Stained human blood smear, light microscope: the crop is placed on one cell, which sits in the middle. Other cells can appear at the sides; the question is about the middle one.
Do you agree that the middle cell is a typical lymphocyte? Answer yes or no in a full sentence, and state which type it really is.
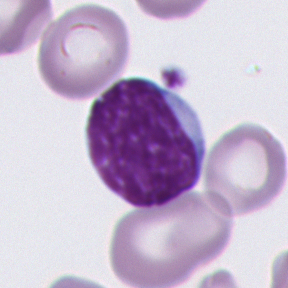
Yes, the cell at the midpoint of the crop is a typical lymphocyte.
